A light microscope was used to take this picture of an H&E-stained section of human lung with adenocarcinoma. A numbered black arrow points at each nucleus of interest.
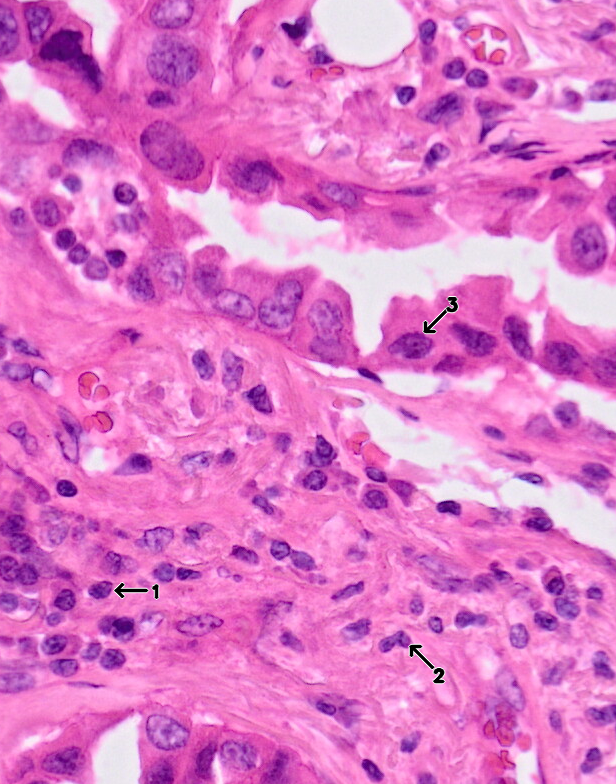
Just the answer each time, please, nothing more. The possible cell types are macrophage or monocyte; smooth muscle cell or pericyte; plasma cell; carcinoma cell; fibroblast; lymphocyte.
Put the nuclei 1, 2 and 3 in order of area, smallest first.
2, 1, 3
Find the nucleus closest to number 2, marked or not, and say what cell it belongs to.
lymphocyte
